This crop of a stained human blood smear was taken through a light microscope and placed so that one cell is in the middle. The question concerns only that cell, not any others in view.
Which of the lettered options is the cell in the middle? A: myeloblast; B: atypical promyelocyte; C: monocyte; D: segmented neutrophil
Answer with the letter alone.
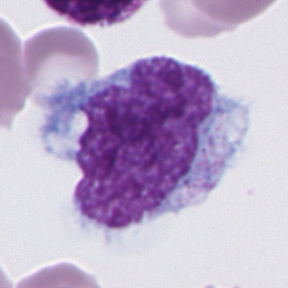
C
